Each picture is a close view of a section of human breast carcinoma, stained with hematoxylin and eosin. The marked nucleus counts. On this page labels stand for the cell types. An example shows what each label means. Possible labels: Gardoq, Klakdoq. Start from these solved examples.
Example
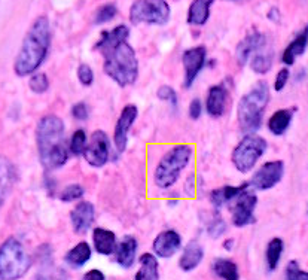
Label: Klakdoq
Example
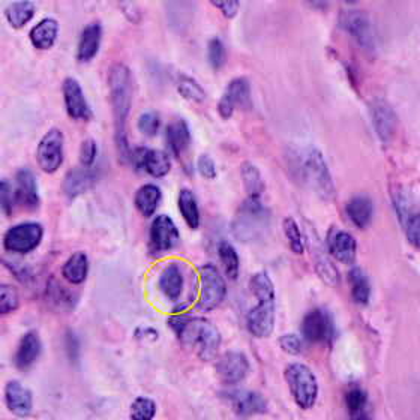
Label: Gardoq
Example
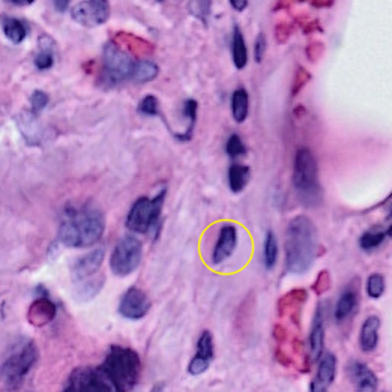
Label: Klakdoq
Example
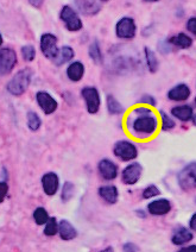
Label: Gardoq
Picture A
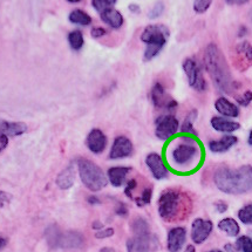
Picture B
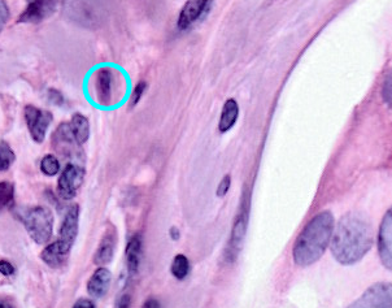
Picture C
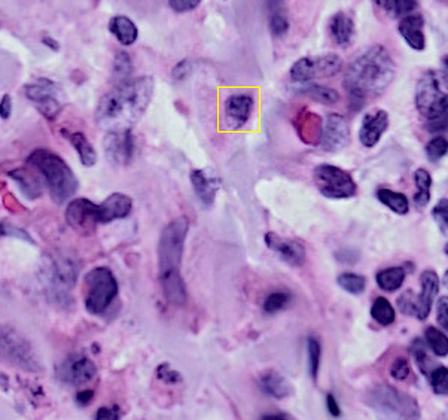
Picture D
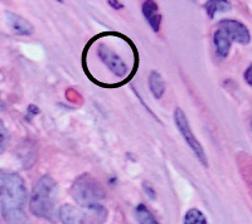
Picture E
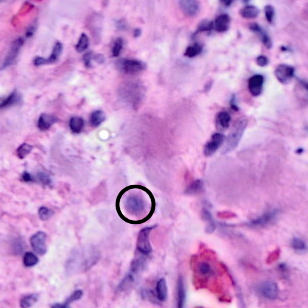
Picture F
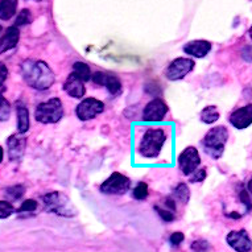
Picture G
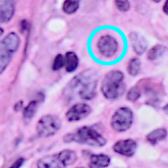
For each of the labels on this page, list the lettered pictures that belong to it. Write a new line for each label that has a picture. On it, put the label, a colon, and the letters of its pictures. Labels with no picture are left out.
Gardoq: A, F
Klakdoq: B, C, D, E, G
